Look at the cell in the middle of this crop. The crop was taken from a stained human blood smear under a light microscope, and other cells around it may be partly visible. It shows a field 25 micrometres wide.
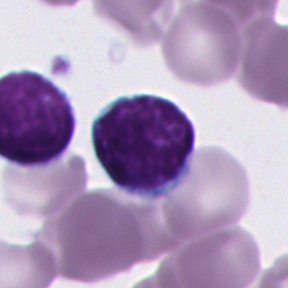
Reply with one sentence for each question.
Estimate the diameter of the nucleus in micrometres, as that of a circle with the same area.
Taken as a circle, the nucleus has a diameter of about 8 micrometres.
